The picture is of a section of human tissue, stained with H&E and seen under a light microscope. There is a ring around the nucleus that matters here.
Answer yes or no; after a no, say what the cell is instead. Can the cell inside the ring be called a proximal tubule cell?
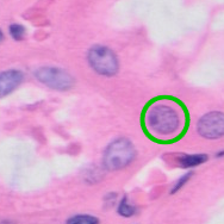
Yes.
